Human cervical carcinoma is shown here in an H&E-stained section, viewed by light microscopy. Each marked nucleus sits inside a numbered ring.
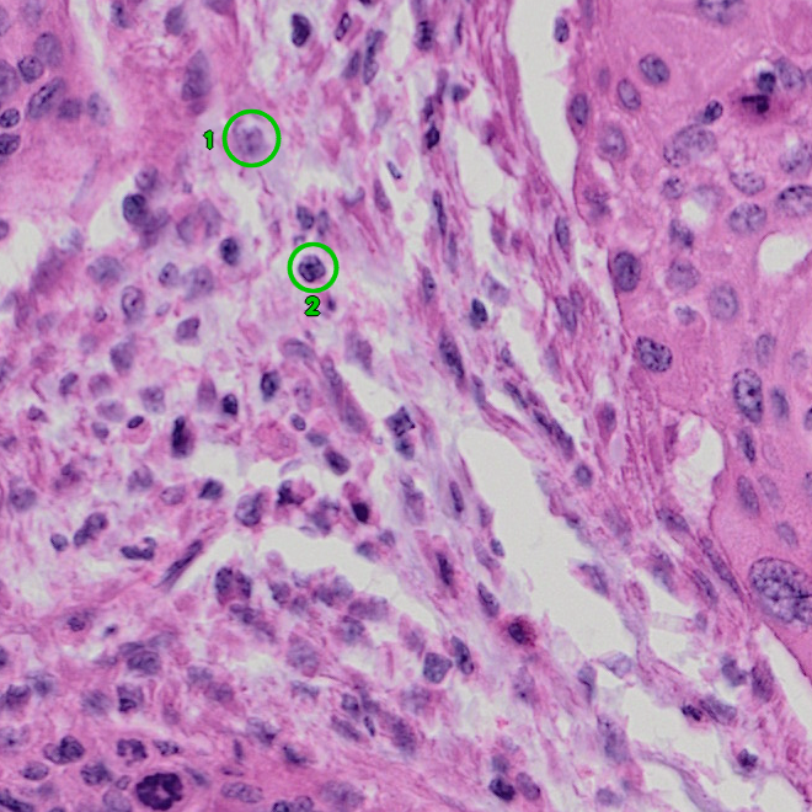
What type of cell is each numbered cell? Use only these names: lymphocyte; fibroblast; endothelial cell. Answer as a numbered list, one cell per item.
1. fibroblast
2. lymphocyte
